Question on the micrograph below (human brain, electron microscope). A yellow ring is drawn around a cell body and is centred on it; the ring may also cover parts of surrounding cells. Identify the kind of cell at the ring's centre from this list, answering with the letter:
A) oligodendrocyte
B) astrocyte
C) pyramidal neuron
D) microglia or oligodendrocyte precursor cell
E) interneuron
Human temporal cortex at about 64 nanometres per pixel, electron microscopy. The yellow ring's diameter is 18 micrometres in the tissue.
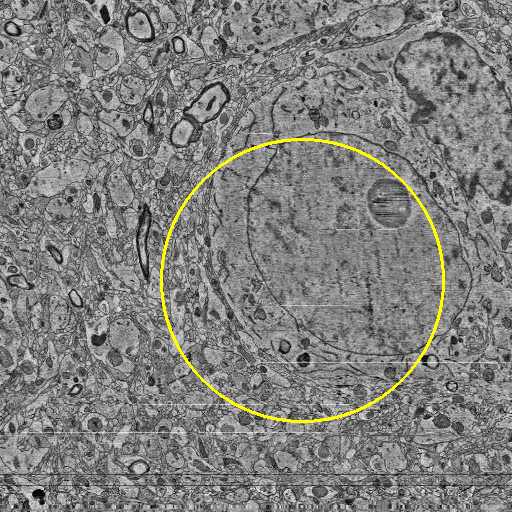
C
